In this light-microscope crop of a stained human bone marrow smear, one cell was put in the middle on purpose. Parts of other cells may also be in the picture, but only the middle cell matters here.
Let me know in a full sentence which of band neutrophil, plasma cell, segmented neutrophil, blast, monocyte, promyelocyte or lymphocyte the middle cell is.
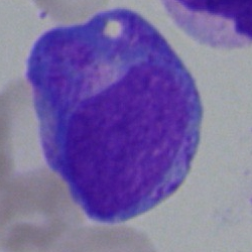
The target cell in the middle of the crop is a promyelocyte.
